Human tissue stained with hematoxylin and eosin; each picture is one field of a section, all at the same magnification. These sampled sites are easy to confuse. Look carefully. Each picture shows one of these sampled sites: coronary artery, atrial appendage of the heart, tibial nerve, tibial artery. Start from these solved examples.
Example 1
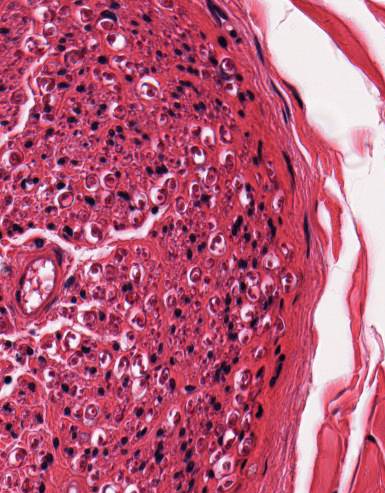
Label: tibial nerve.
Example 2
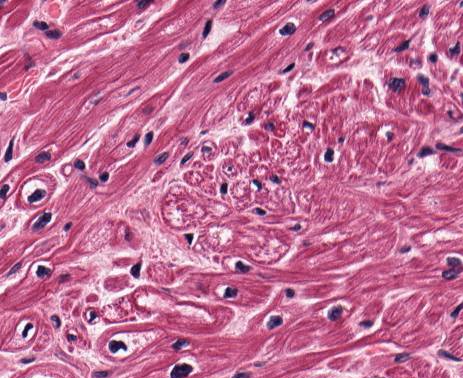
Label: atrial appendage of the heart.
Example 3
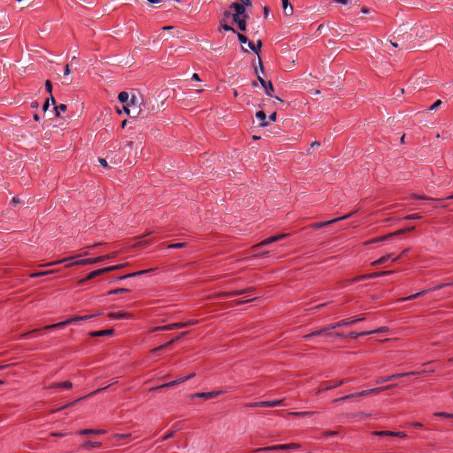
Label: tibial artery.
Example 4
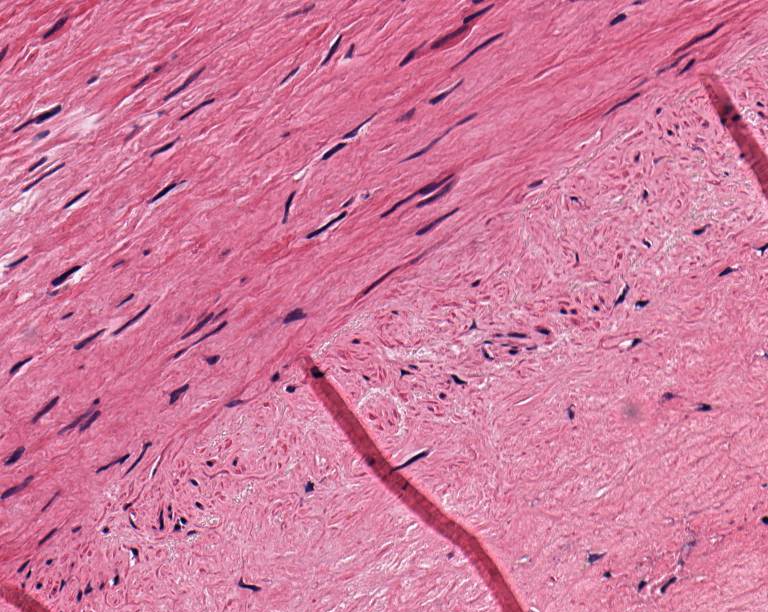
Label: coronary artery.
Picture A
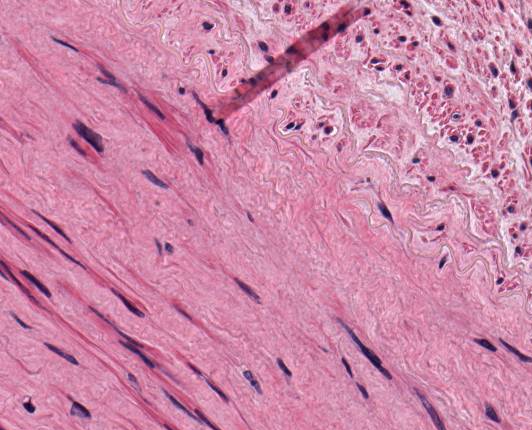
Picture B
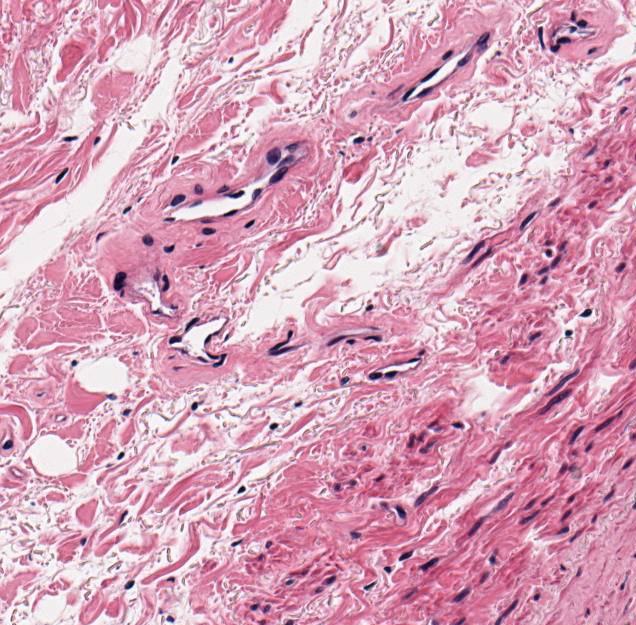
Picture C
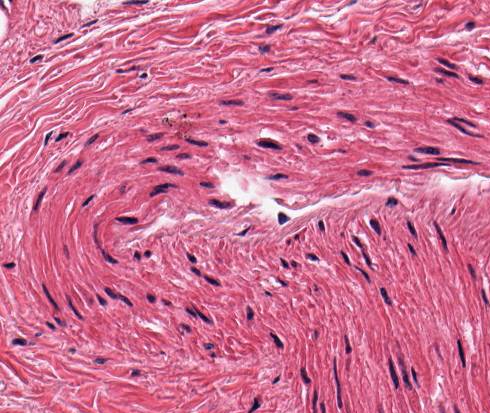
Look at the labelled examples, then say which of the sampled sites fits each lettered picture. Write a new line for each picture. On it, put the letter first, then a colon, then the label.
A: tibial artery.
B: tibial artery.
C: coronary artery.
